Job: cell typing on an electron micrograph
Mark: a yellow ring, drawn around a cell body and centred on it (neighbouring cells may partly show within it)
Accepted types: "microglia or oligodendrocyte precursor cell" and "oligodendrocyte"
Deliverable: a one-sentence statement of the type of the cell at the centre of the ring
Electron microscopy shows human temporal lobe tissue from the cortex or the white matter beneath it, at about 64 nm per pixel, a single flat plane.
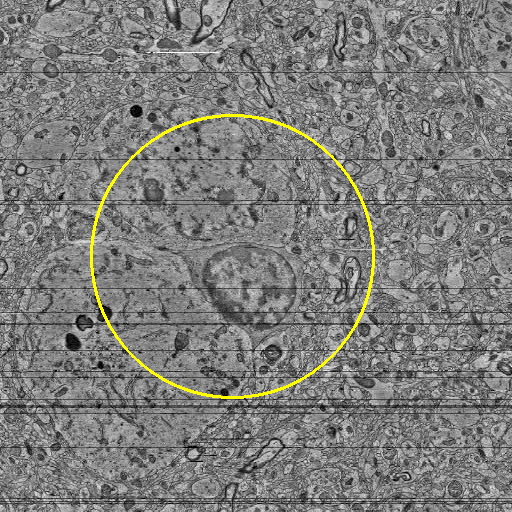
The centred cell body is that of an oligodendrocyte.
